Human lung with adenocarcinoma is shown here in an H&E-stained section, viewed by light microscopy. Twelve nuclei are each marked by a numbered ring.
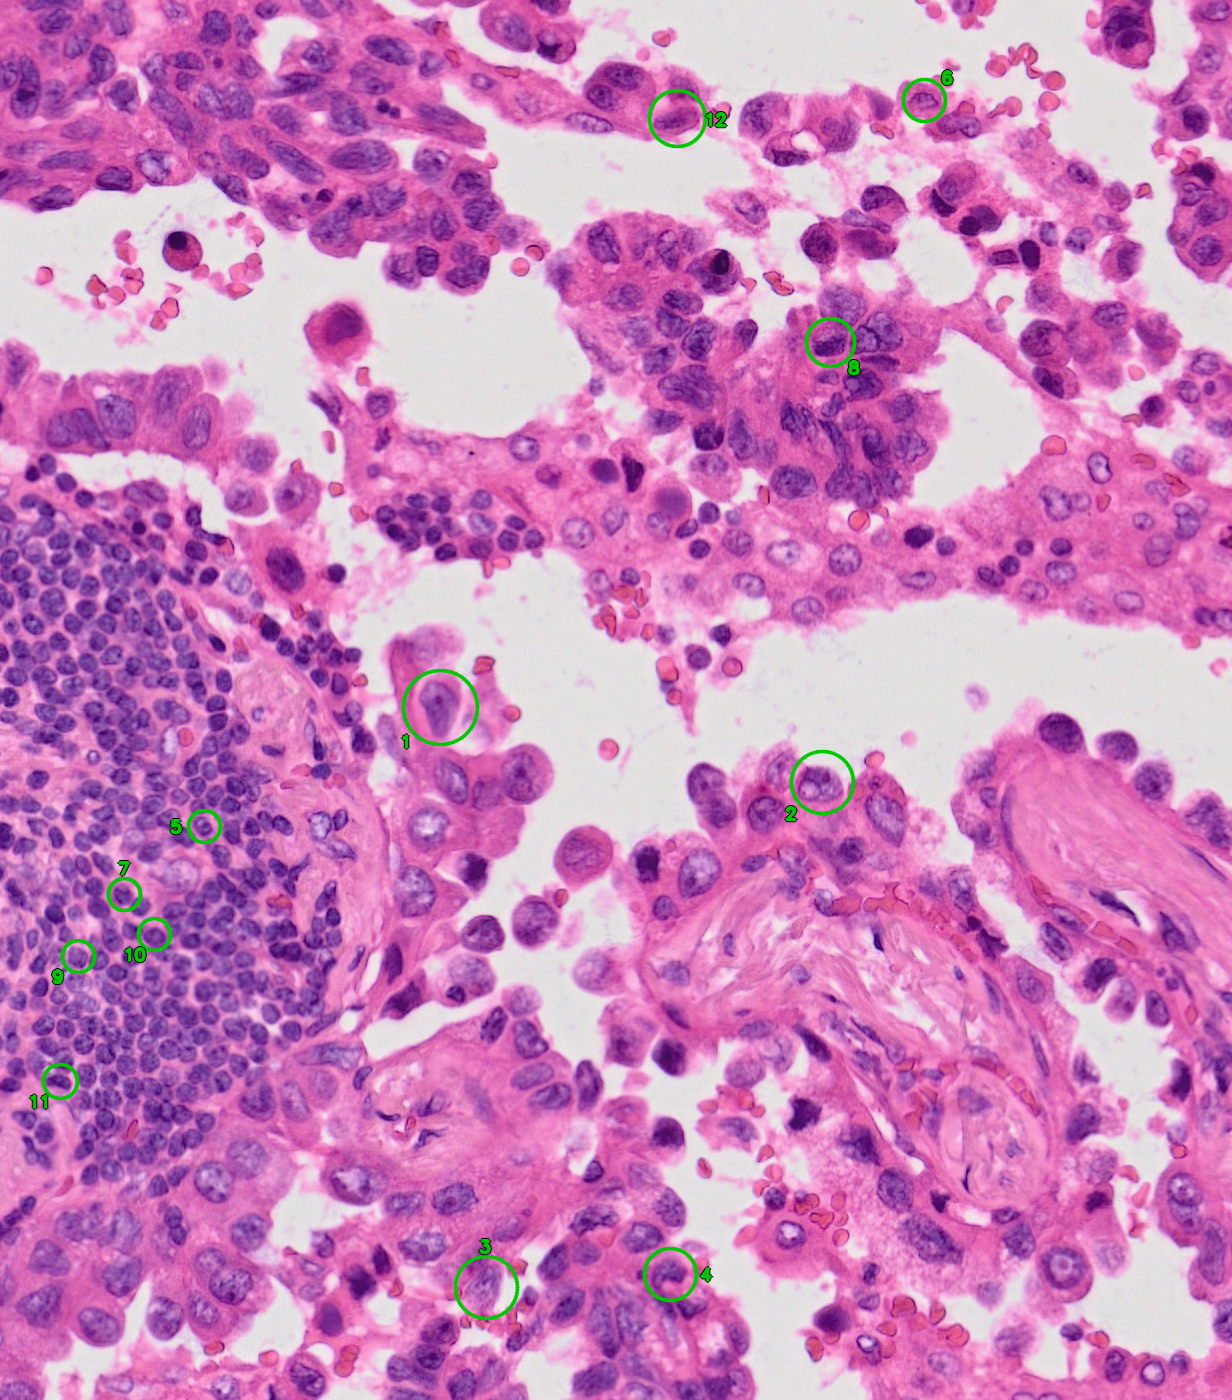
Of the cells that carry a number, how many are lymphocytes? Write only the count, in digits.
5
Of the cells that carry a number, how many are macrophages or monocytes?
1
